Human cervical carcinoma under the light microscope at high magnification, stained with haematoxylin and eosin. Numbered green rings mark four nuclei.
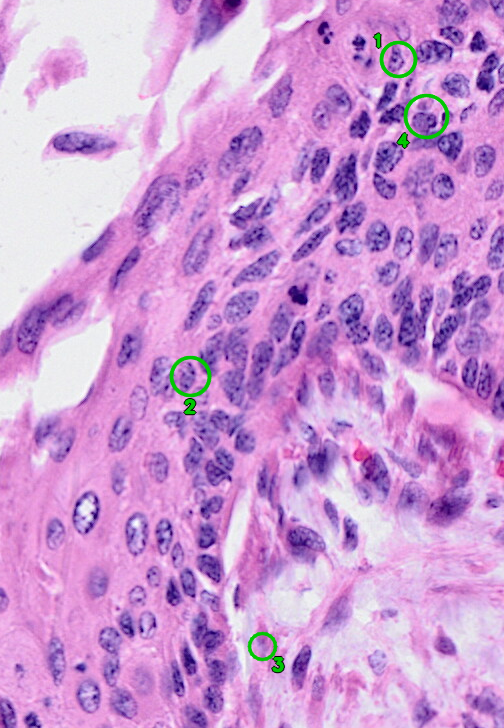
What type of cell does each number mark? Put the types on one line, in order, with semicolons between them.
squamous carcinoma cell; squamous carcinoma cell; fibroblast; squamous carcinoma cell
